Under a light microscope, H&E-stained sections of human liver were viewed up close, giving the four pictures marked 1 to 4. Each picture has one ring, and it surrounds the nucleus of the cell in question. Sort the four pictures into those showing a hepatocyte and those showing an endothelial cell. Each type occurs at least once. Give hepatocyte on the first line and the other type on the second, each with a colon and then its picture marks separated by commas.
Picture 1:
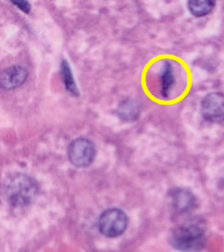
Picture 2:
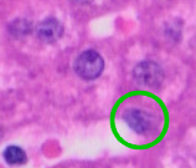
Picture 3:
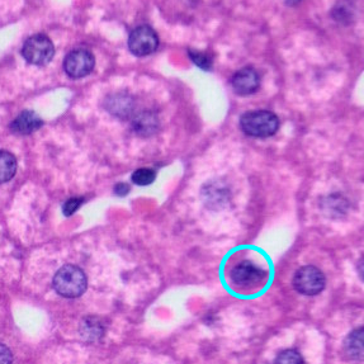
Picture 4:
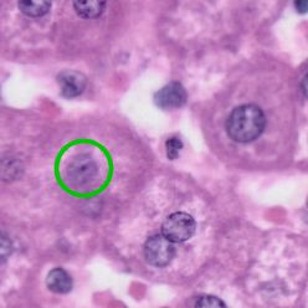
hepatocyte: 4
endothelial cell: 1, 2, 3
